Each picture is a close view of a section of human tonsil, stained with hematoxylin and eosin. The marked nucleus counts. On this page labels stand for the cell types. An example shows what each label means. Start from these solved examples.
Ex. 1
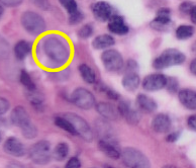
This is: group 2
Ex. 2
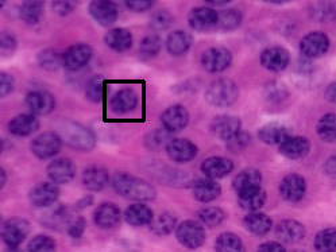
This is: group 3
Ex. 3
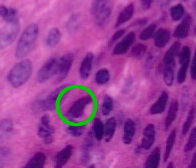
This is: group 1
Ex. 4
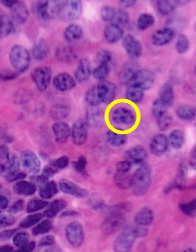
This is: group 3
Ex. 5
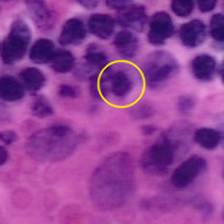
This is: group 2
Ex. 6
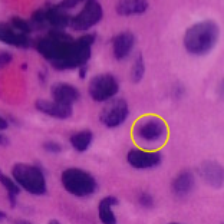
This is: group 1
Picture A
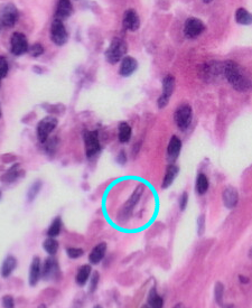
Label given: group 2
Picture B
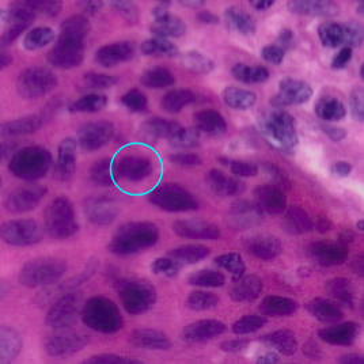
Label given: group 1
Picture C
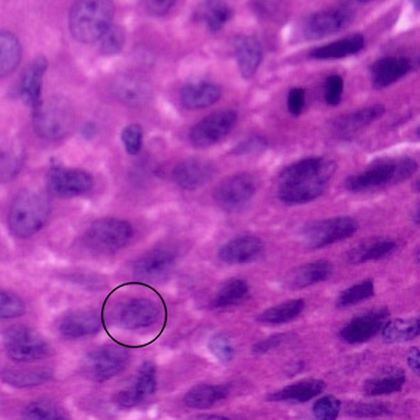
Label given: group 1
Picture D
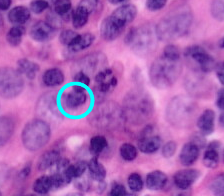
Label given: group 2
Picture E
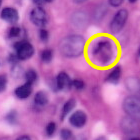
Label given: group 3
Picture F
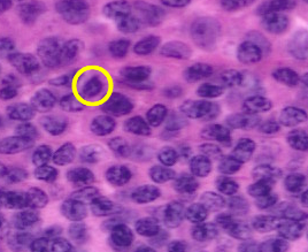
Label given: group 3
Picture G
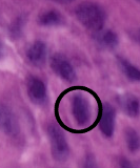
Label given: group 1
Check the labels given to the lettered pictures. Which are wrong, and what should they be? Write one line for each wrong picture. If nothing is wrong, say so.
E should be group 2, not group 3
